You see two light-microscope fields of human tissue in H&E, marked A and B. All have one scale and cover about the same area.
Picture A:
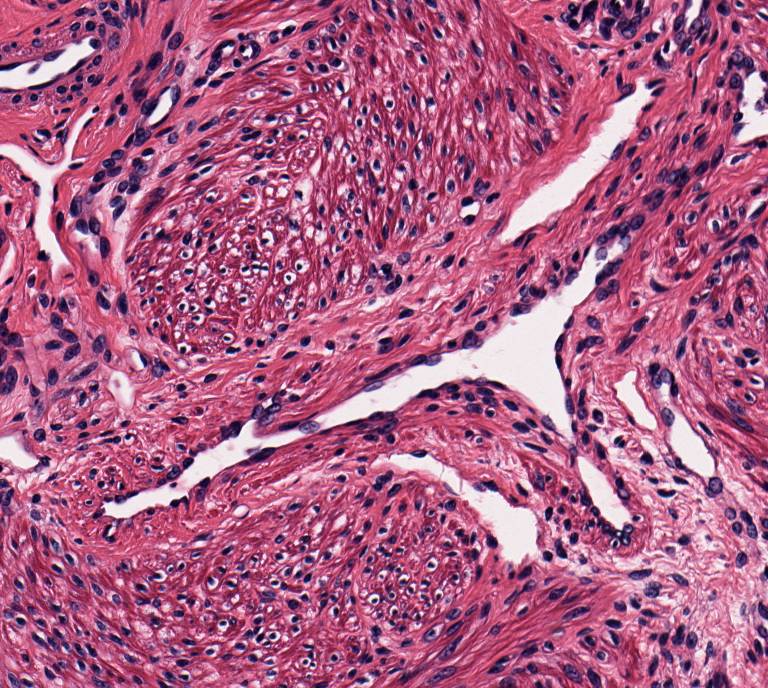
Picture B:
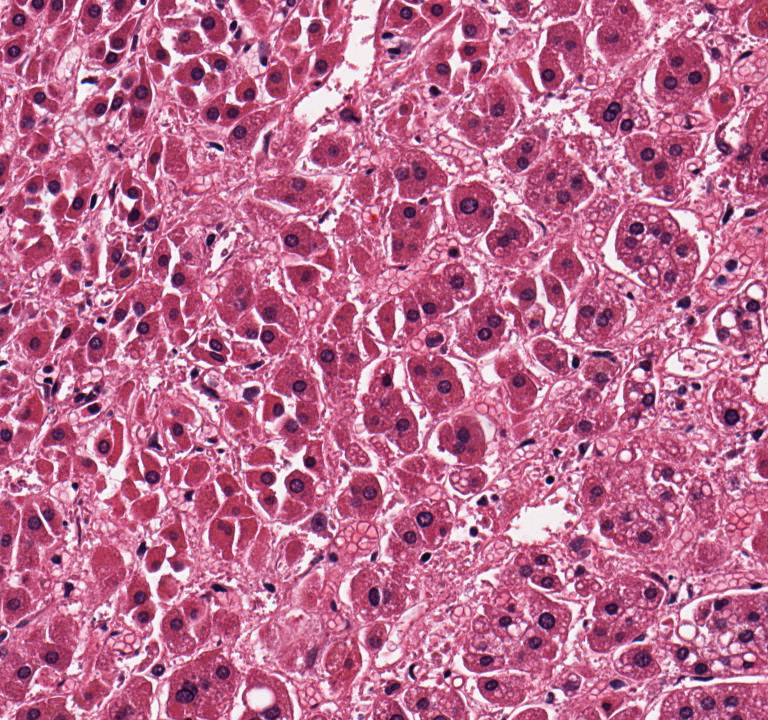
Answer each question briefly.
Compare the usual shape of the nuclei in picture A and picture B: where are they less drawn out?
B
